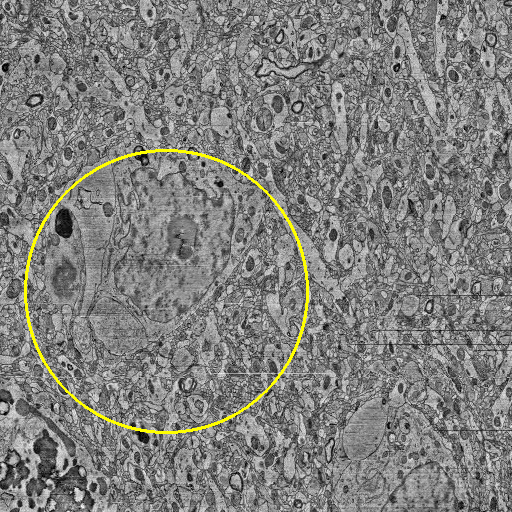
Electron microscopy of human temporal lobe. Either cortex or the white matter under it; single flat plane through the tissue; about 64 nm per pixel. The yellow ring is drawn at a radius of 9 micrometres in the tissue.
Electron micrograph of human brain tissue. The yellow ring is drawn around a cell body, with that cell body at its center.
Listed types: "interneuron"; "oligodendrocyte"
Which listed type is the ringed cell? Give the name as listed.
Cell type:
interneuron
